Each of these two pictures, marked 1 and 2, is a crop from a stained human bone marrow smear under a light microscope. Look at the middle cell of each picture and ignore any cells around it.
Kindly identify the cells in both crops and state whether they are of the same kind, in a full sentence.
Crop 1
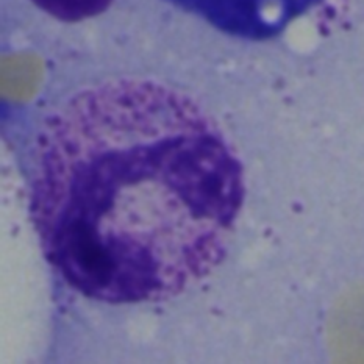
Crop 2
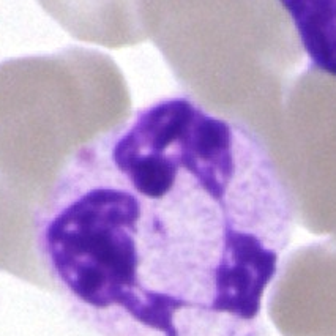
Yes, both crops show neutrophils as their central cells.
